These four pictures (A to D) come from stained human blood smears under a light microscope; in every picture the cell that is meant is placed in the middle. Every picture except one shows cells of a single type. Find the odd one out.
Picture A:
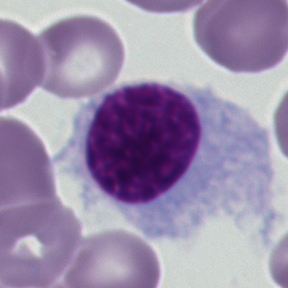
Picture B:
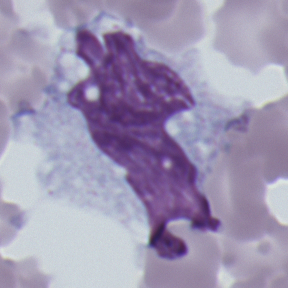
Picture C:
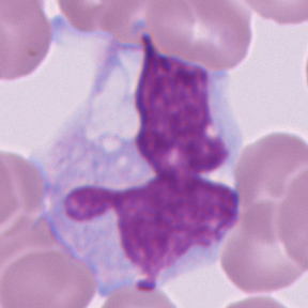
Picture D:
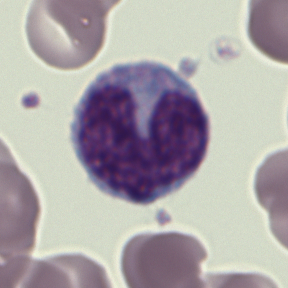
A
